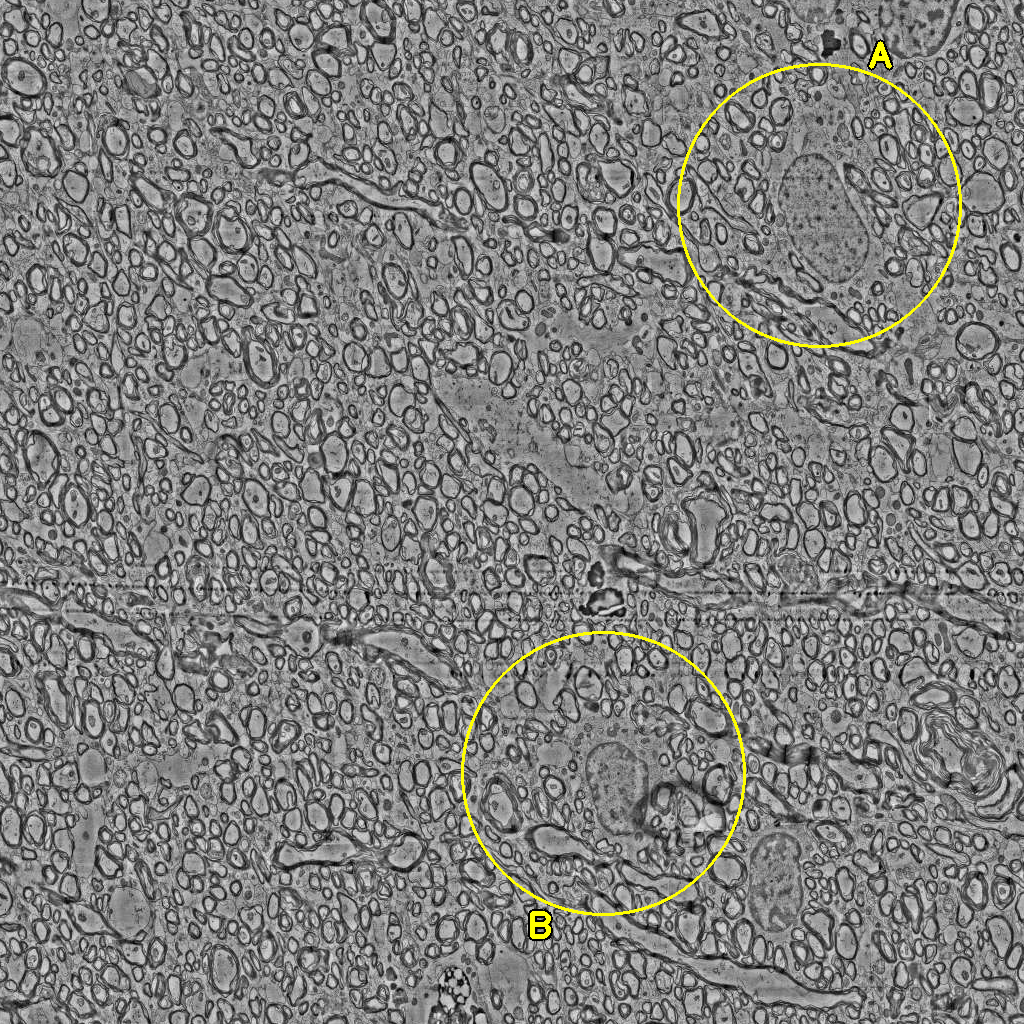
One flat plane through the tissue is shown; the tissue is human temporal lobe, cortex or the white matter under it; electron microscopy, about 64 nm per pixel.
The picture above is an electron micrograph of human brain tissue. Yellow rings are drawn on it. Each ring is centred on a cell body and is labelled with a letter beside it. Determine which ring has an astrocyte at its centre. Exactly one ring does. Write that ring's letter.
A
